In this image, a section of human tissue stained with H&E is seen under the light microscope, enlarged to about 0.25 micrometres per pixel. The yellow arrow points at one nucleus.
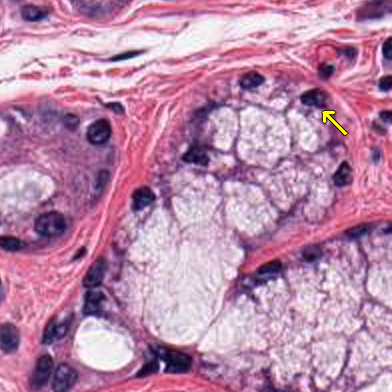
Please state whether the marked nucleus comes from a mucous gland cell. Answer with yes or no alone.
yes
